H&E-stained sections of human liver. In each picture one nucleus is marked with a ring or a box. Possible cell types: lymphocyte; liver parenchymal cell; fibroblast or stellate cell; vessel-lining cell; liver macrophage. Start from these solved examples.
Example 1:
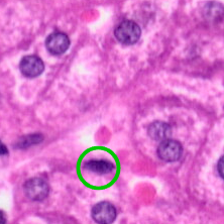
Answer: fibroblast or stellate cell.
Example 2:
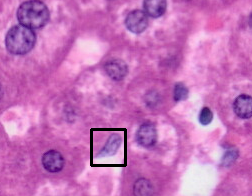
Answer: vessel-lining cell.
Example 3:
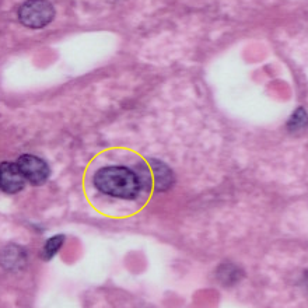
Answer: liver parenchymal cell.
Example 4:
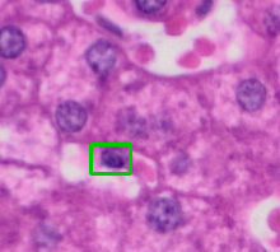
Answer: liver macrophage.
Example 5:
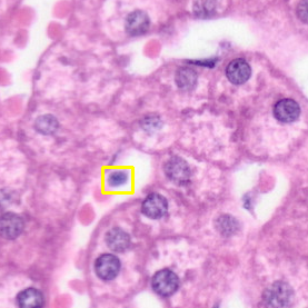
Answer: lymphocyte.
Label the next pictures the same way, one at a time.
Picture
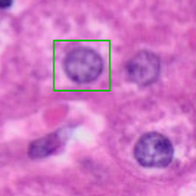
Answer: liver parenchymal cell.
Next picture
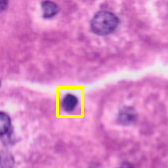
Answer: lymphocyte.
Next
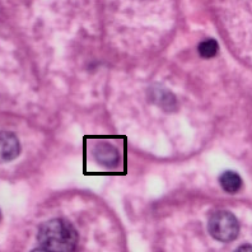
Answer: liver macrophage.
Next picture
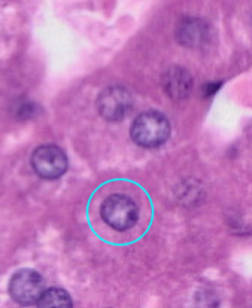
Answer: liver parenchymal cell.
